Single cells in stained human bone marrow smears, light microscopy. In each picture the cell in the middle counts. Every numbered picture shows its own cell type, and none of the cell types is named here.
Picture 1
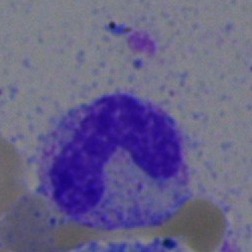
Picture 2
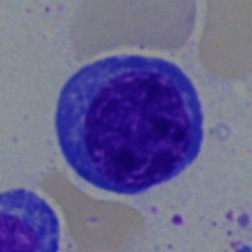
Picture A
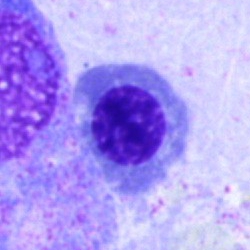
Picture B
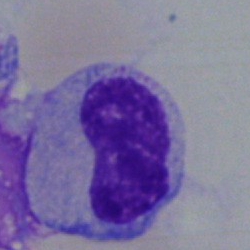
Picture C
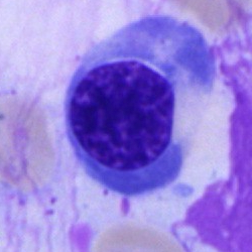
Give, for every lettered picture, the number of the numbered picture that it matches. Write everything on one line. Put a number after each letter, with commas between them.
A 2, B 1, C 2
